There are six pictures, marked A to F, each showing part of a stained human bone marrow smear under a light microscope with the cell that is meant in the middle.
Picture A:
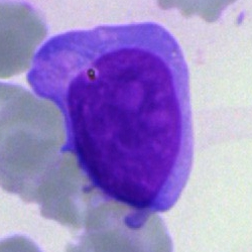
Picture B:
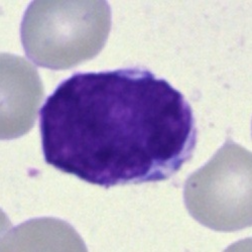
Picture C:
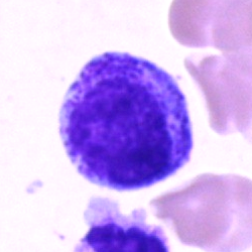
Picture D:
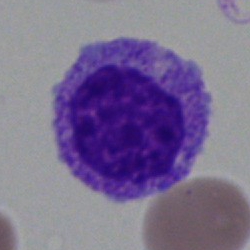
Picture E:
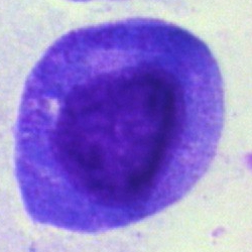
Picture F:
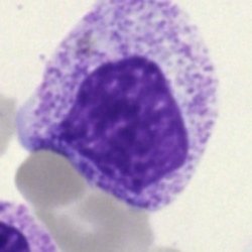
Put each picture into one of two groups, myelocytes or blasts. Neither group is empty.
A: blast
B: blast
C: myelocyte
D: myelocyte
E: myelocyte
F: myelocyte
